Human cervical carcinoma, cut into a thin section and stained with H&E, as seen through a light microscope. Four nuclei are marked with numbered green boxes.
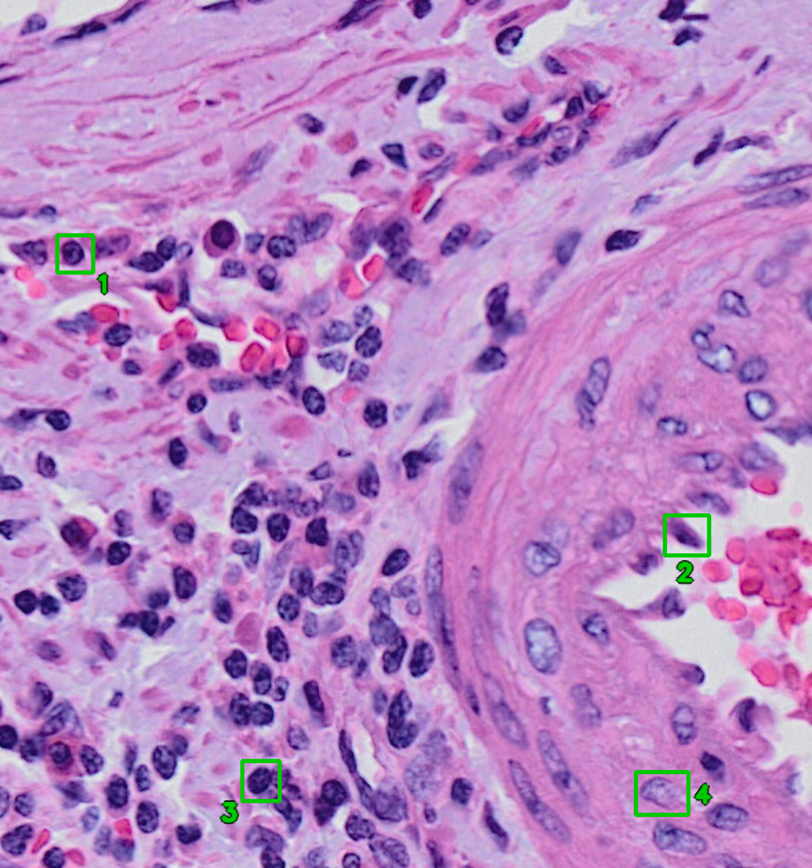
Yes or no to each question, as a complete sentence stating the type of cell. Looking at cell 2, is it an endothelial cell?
Yes, looking at number 2, that cell is an endothelial cell.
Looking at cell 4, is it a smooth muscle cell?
Yes, the one numbered 4 is a smooth muscle cell.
